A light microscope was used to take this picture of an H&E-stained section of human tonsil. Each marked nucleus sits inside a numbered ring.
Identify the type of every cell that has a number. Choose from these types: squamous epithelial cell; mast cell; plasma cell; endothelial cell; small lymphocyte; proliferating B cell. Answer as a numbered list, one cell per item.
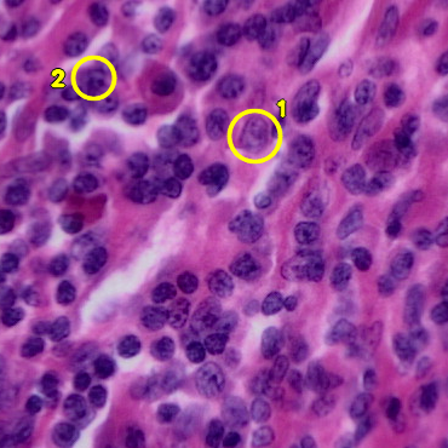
1. endothelial cell
2. plasma cell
